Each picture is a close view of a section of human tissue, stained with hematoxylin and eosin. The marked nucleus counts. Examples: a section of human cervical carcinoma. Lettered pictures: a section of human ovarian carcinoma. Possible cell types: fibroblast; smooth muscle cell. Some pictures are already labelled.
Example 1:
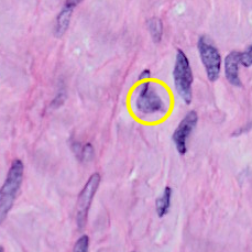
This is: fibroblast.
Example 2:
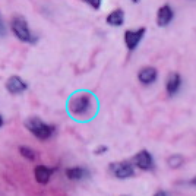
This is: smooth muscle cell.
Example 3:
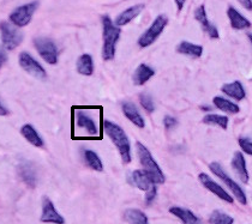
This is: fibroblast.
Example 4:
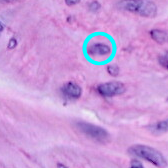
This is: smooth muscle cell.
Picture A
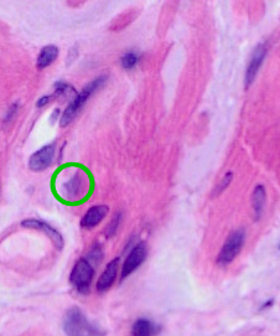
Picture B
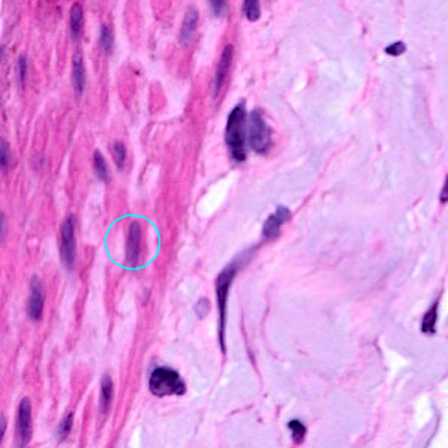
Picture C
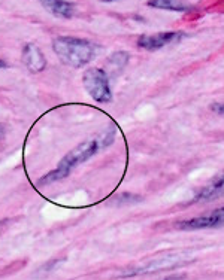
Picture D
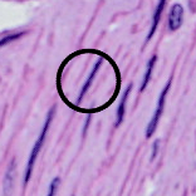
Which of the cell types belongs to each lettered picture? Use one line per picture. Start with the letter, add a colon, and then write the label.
A: smooth muscle cell.
B: smooth muscle cell.
C: fibroblast.
D: fibroblast.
